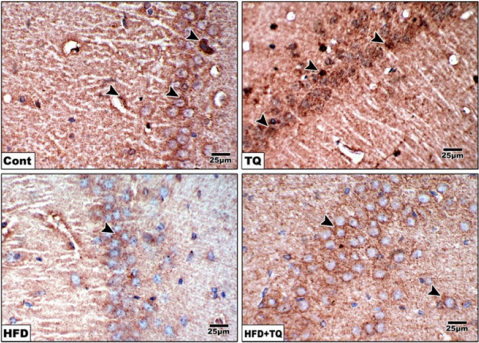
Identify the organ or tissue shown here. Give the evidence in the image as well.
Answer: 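A band of closely packed, rounded cell bodies with round nuclei runs through each field. Fibrous, paler neuropil lies beside the band. On this evidence: pyramidal cell layer.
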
